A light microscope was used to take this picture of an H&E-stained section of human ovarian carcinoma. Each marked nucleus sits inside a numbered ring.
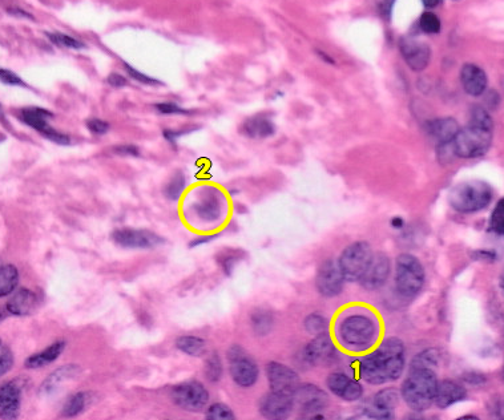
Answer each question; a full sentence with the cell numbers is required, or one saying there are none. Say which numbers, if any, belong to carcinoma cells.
No marked cell except number 1 is a carcinoma cell.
